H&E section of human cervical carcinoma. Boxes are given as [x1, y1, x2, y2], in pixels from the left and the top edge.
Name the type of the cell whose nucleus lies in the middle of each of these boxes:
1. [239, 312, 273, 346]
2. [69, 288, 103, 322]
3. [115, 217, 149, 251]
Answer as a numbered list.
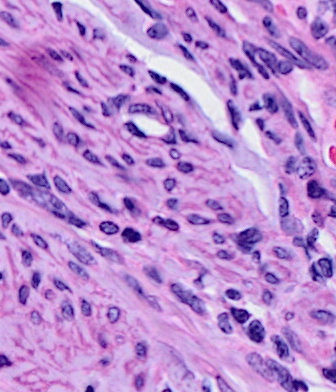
1. lymphocyte
2. smooth muscle cell
3. lymphocyte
